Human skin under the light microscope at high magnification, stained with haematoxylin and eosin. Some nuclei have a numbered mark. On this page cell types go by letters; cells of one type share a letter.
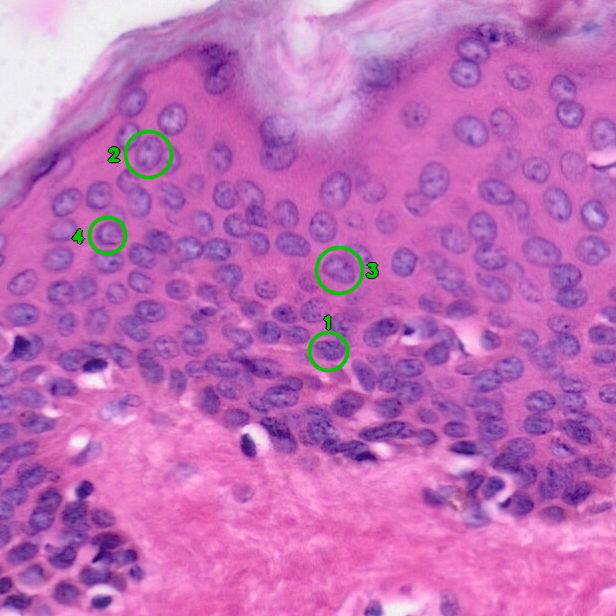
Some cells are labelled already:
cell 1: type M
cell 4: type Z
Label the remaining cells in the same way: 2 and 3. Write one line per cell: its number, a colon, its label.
2: type Z
3: type Z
